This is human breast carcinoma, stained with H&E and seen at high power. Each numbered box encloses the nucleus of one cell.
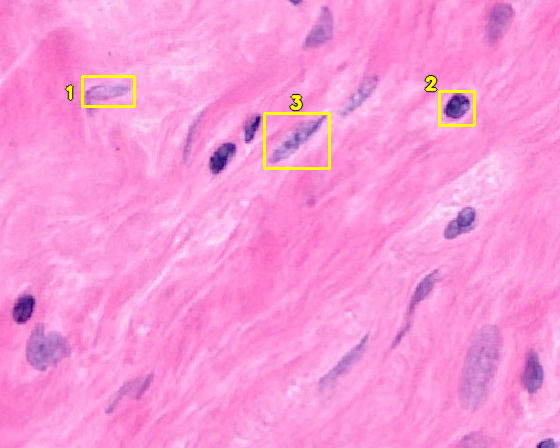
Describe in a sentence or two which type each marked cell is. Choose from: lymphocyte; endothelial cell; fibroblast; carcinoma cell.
Cells 1 and 3 are fibroblasts. Cell 2 is a lymphocyte.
